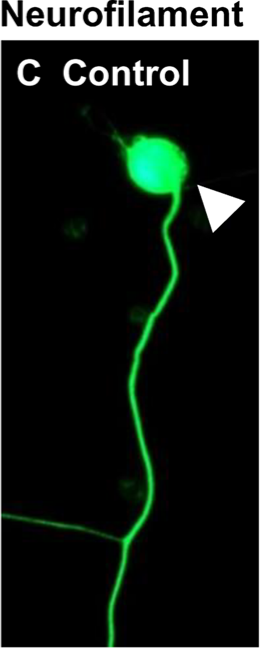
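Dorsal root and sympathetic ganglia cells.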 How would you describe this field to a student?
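The cell body sits near the top as a bright green sphere, with a few short fine projections at its upper edge. From its lower side a single slender axon leaves, gently curving, and runs smoothly down almost the whole height of the image. Its width stays even and its staining is bright and unbroken. Near the bottom another process joins or branches from it at an angle. The background is dark, with only a few faint specks.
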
